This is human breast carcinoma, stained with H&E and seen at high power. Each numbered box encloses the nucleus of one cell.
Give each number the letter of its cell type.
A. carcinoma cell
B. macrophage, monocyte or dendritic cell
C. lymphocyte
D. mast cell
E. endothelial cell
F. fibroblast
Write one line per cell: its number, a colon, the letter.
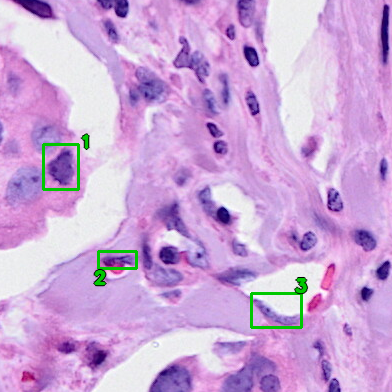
1: A
2: E
3: E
